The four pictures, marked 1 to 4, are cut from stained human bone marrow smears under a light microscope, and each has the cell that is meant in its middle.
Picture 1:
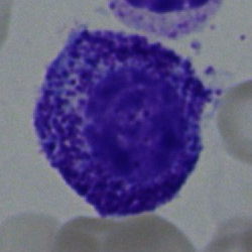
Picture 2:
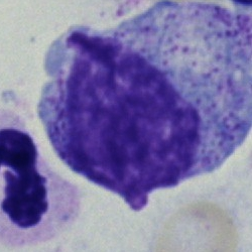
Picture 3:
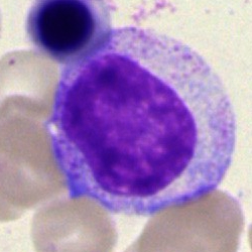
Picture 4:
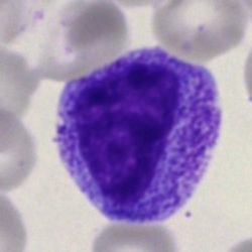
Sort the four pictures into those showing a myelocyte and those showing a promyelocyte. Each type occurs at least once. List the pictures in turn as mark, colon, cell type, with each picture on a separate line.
1: promyelocyte
2: promyelocyte
3: myelocyte
4: myelocyte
